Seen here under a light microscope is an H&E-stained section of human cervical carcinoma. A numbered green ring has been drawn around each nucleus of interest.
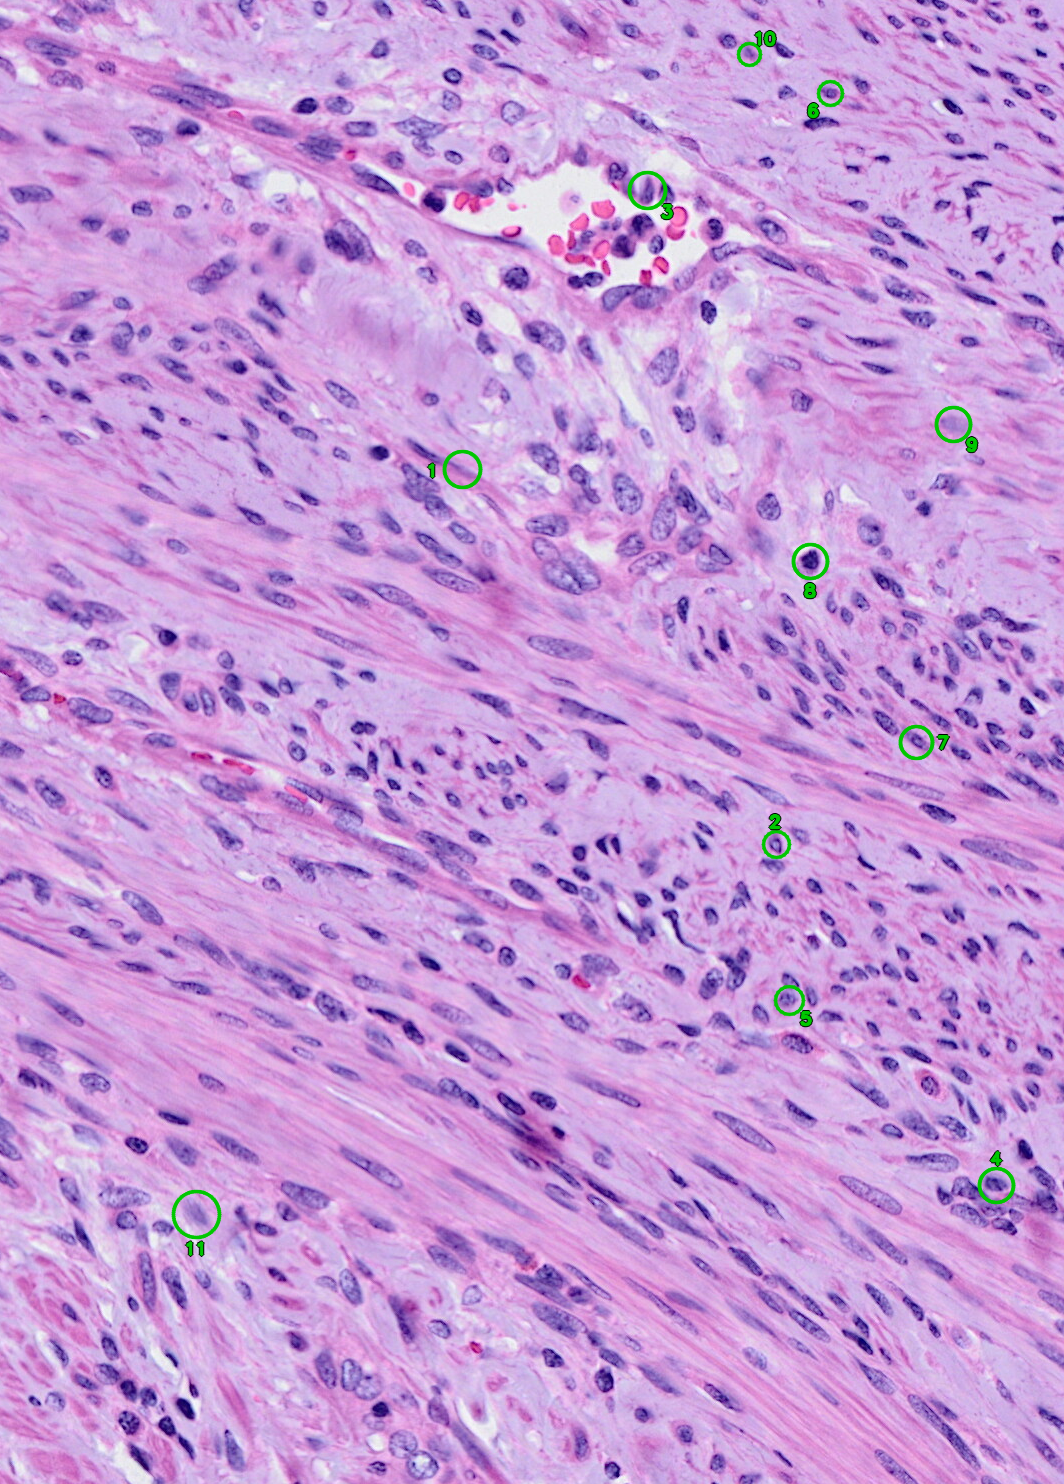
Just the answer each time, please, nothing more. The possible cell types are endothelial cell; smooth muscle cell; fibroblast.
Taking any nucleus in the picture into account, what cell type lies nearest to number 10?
smooth muscle cell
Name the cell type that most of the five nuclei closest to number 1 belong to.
fibroblast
